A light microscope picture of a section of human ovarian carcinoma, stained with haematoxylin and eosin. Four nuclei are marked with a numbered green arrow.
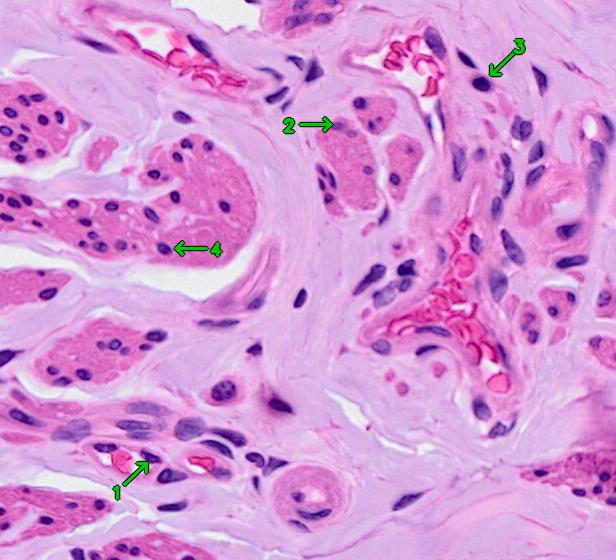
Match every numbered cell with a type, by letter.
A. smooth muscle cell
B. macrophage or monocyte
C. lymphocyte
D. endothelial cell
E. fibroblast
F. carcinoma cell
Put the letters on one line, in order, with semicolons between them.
D; A; C; A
